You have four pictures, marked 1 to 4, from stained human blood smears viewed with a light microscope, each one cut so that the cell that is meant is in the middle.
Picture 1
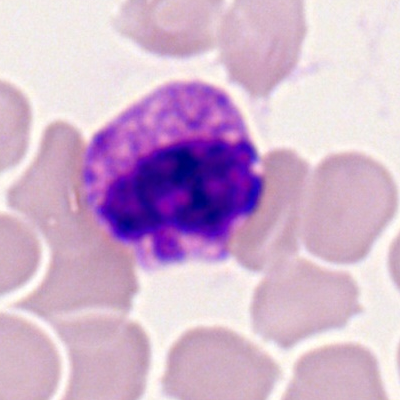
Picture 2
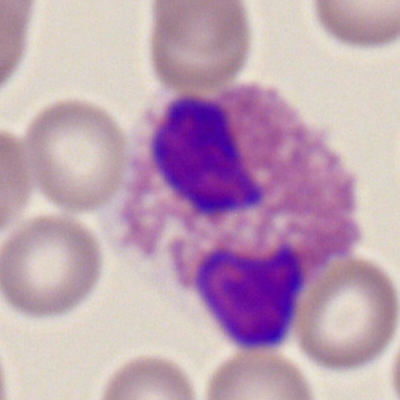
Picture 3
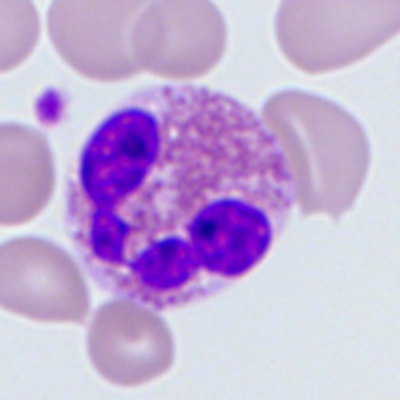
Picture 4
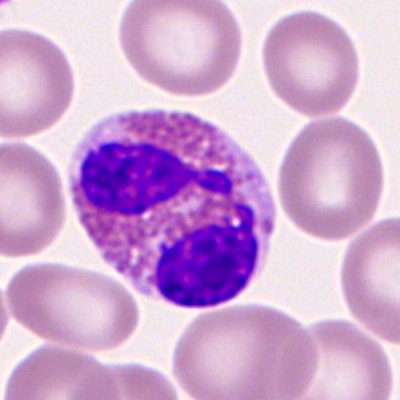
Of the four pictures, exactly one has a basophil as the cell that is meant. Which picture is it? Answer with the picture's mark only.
1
